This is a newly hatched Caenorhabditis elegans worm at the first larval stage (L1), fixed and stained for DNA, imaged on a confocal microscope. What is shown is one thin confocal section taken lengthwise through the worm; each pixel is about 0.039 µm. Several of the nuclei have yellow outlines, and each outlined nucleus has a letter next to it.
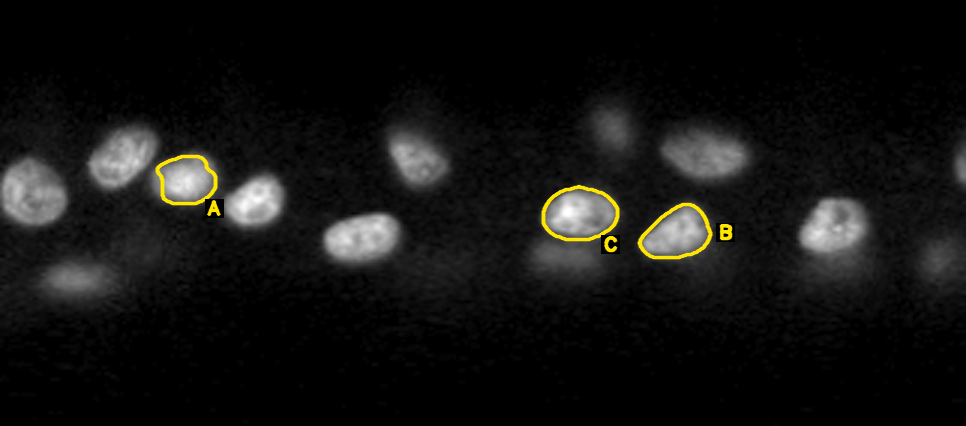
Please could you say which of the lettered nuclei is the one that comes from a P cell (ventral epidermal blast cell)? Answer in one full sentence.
It is B that belongs to a P cell (ventral epidermal blast cell).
